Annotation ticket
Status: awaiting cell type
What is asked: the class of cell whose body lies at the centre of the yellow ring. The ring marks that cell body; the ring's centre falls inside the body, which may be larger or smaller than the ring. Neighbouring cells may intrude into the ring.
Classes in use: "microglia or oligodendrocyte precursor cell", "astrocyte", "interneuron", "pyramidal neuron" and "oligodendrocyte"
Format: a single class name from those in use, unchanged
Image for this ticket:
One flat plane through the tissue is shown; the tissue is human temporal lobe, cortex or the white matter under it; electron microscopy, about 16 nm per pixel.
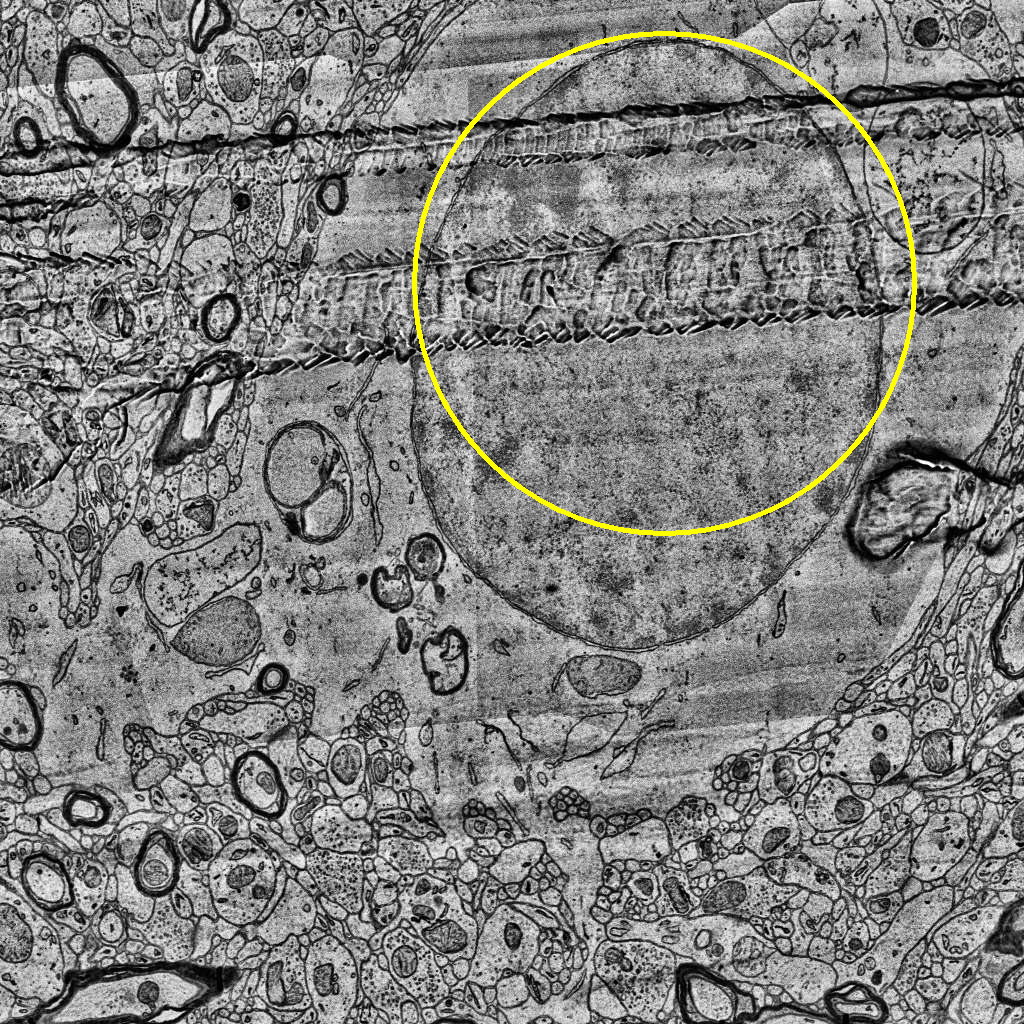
astrocyte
